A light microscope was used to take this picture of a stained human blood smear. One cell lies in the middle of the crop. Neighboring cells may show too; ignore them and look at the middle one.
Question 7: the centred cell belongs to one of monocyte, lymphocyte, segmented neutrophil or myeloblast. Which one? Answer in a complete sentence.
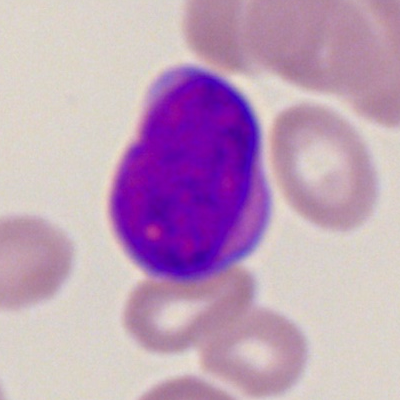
The center cell of this crop is a myeloblast.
